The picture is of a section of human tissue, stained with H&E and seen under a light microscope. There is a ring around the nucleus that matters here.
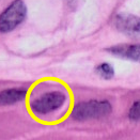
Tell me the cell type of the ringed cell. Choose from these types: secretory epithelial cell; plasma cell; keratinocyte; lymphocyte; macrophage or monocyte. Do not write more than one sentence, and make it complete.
Assigned to a cell type, the ringed cell is a keratinocyte.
